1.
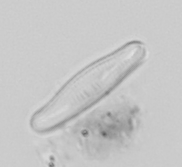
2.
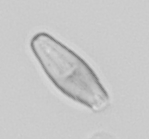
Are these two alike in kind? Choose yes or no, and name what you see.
Yes. Achnanthidium.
